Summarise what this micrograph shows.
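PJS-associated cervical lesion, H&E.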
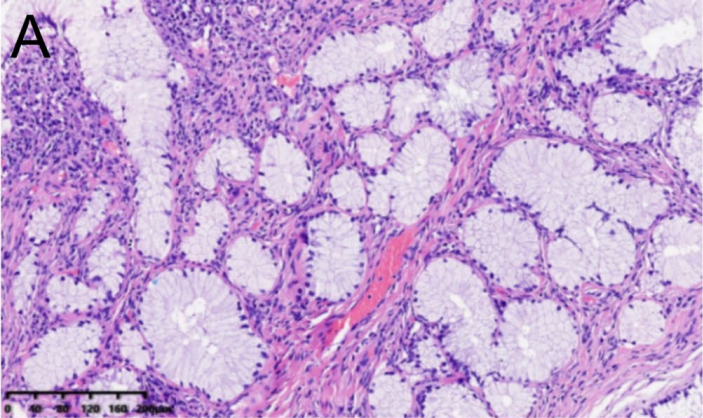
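Endocervical tissue with a lobular proliferation of small to medium-sized, rounded glands set in a cellular stroma. The glands have smooth, round outlines and are lined by a single layer of tall columnar mucinous epithelial cells. Their cytoplasm is abundant and pale pink to clear. The nuclei are small, dark, bland and located at the base of the cells. A band of pink smooth-muscle-like stroma runs obliquely between groups of glands.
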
